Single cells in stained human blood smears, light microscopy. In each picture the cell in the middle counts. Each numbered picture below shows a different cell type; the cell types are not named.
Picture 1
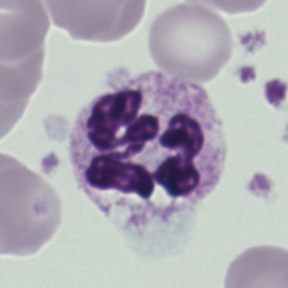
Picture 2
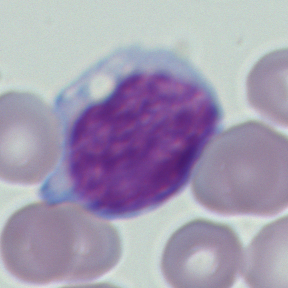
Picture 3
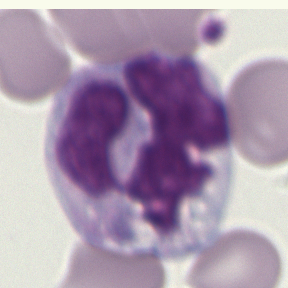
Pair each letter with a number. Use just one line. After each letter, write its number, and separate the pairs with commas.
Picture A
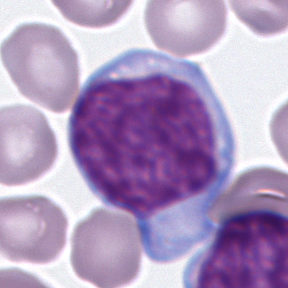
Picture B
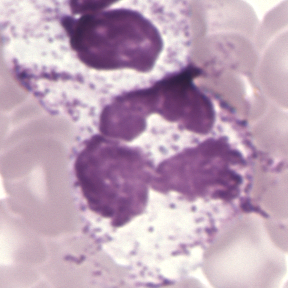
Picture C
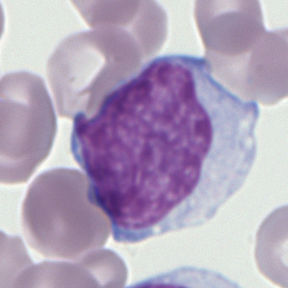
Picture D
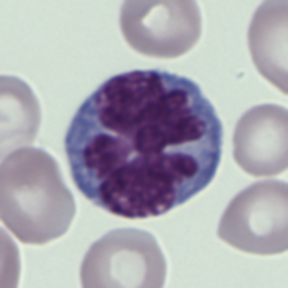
A 2, B 1, C 2, D 3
